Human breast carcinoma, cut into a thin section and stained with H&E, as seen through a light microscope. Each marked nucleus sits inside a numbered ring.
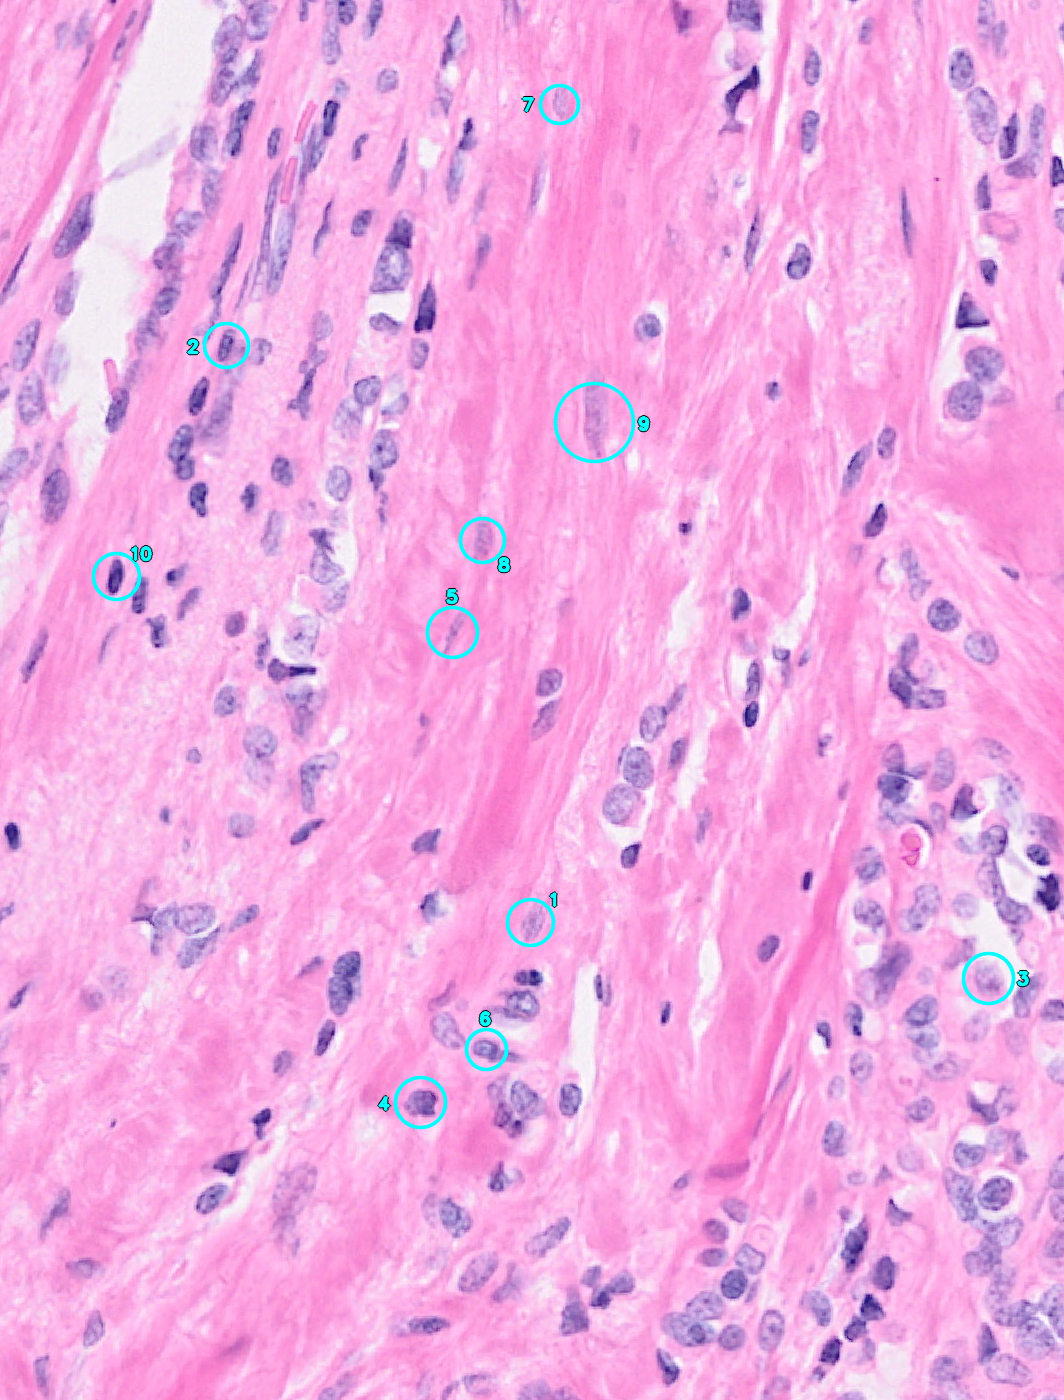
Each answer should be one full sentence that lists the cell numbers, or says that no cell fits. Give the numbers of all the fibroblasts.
The cells to which the numbers 1, 5, 7, 8 and 9 refer are fibroblasts.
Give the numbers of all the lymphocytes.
Each of the cells numbered 4 and 10 is among the lymphocytes.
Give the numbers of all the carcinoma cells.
Only the cell numbered 3 is a carcinoma cell; none of the others is.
